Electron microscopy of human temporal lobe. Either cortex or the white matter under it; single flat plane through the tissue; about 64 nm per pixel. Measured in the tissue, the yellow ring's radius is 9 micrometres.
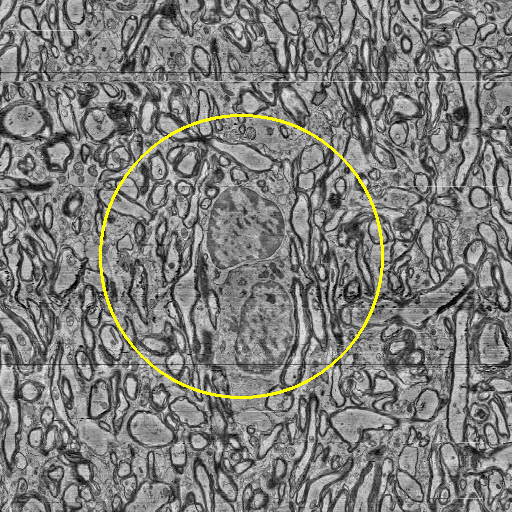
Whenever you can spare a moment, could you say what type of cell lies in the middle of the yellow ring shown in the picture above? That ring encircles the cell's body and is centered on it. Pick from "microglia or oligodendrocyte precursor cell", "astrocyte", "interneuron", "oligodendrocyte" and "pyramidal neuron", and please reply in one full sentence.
The cell whose body sits at the middle of the yellow ring is a microglial cell or oligodendrocyte precursor cell.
